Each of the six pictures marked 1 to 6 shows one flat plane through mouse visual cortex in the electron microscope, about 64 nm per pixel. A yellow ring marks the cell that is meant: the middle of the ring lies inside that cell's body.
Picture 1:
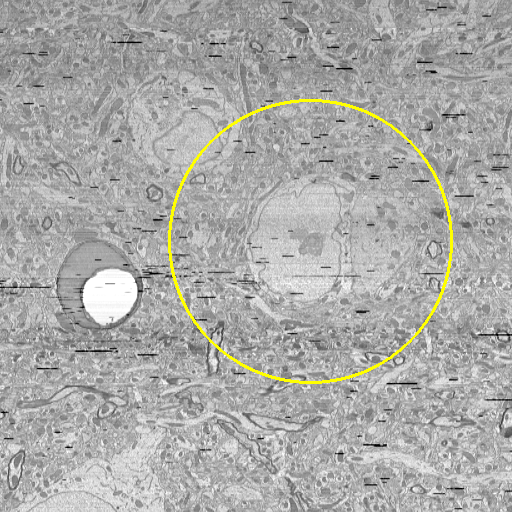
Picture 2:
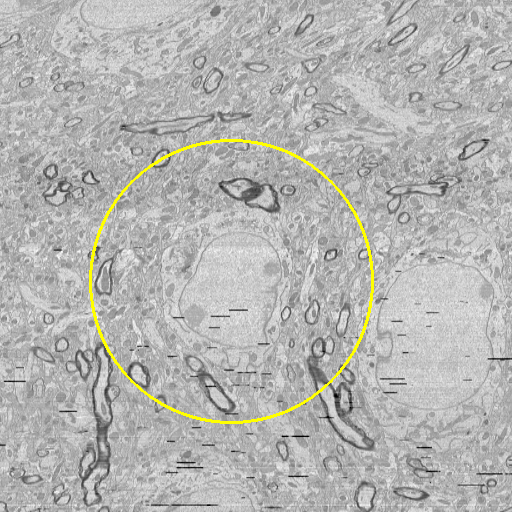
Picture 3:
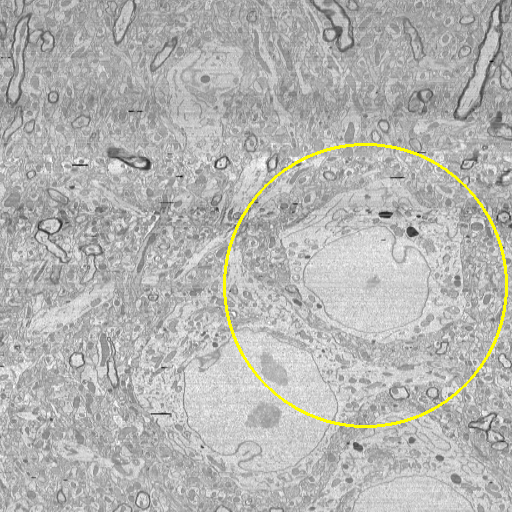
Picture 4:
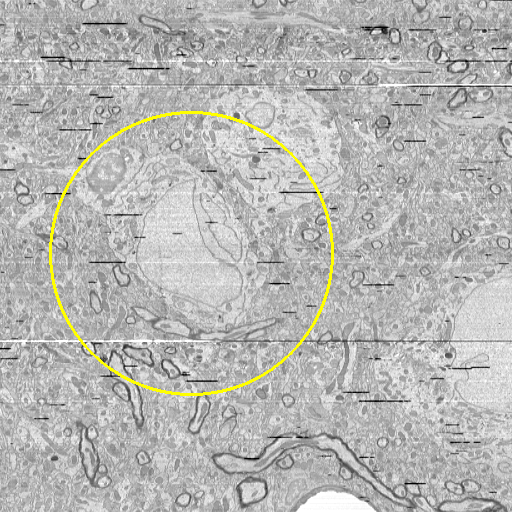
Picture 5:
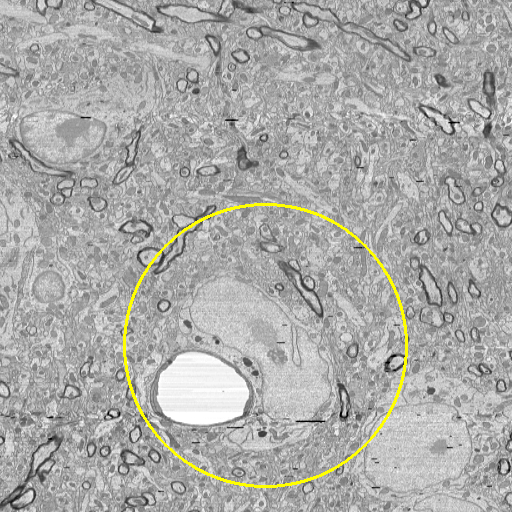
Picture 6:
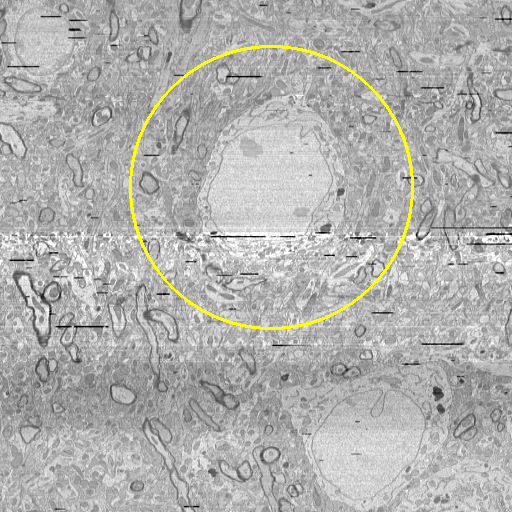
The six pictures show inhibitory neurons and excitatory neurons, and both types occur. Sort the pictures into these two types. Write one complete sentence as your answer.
Pictures 1, 4 and 5 show inhibitory neurons, and pictures 2, 3 and 6 show excitatory neurons.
